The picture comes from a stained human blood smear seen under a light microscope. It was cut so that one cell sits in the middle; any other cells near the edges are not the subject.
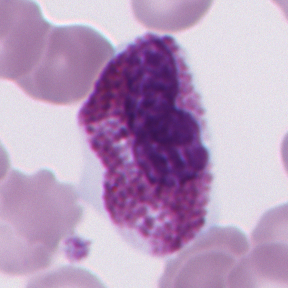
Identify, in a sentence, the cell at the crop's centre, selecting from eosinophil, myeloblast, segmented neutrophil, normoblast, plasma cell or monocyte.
On this slide crop, the central cell is an eosinophil.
